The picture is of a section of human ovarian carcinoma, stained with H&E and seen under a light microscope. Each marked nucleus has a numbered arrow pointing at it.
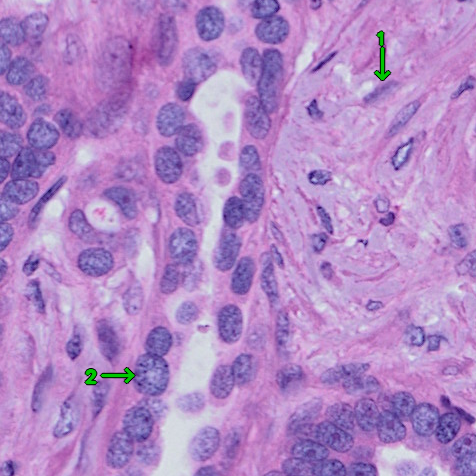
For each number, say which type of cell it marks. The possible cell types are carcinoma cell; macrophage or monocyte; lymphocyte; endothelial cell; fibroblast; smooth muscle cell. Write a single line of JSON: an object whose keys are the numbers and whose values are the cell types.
{"1": "fibroblast", "2": "carcinoma cell"}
